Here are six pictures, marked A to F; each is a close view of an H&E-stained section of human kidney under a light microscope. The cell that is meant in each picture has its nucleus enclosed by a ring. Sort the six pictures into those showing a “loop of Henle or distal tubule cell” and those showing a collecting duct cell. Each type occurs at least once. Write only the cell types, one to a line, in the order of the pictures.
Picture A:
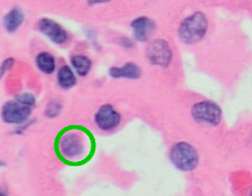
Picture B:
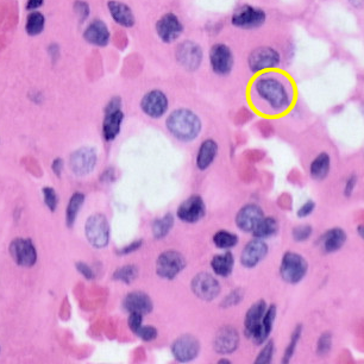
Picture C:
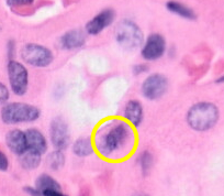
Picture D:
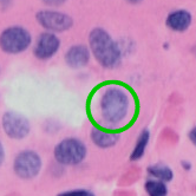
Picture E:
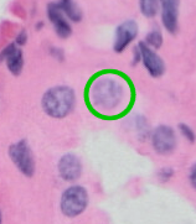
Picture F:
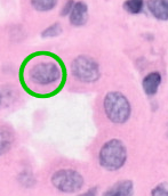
loop of Henle or distal tubule cell
collecting duct cell
collecting duct cell
collecting duct cell
collecting duct cell
loop of Henle or distal tubule cell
